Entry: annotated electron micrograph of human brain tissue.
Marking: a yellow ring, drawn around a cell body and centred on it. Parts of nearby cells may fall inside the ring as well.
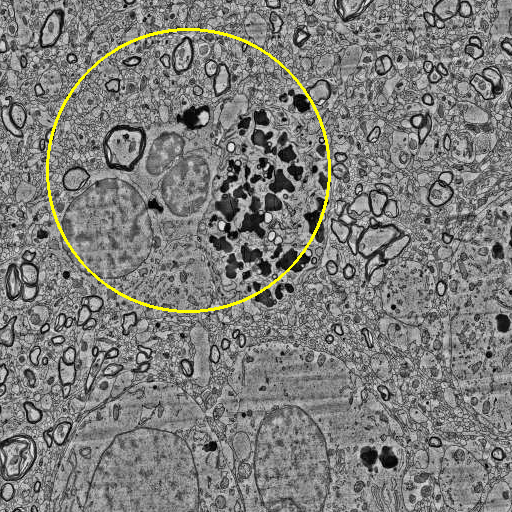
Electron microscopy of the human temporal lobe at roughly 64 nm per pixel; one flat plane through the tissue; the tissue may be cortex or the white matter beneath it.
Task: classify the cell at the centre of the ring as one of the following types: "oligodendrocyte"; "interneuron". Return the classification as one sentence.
The marked cell is classified as an oligodendrocyte.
